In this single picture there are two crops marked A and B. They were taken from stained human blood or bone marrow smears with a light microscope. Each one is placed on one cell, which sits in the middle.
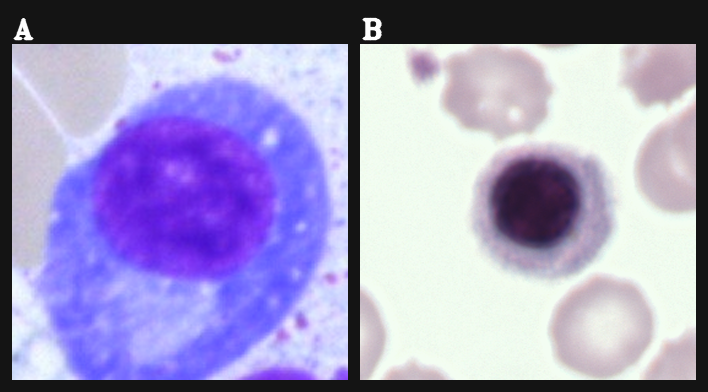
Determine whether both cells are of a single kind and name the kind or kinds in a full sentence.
No, the cell centred in crop A is a plasma cell, and that centred in crop B is an erythroblast.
